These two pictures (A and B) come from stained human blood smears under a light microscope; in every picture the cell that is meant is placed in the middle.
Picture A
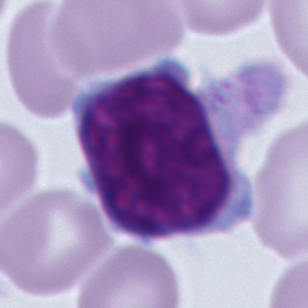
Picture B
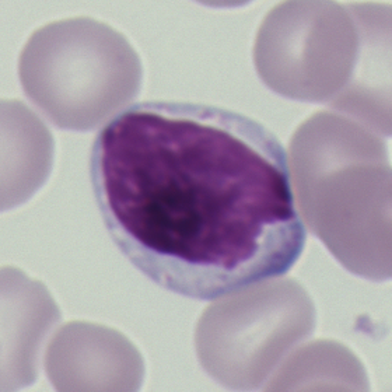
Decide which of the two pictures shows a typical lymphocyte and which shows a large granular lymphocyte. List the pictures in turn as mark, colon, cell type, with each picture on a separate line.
A: typical lymphocyte
B: large granular lymphocyte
